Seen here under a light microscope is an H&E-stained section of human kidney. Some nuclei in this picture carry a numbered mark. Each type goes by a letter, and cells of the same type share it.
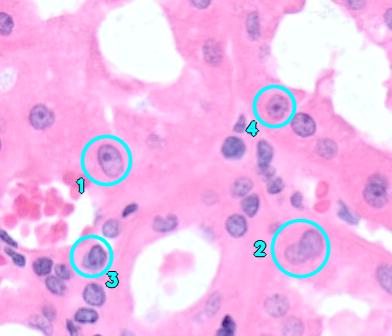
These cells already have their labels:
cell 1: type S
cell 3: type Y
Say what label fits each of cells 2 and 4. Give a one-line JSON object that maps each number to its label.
{"2": "type S", "4": "type S"}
